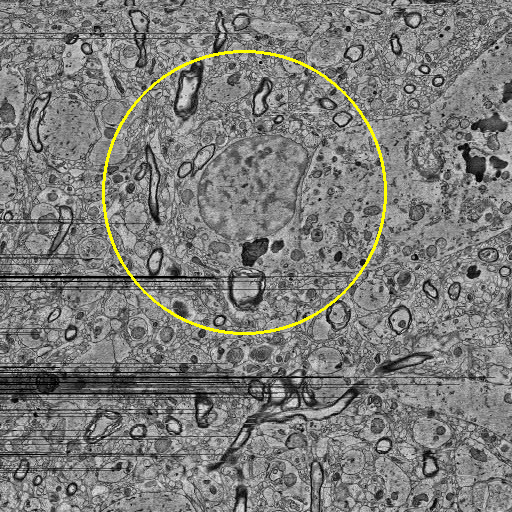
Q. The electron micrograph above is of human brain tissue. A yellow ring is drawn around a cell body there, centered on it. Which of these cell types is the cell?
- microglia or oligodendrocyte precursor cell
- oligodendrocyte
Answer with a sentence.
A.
The cell under the ring's center is an oligodendrocyte.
